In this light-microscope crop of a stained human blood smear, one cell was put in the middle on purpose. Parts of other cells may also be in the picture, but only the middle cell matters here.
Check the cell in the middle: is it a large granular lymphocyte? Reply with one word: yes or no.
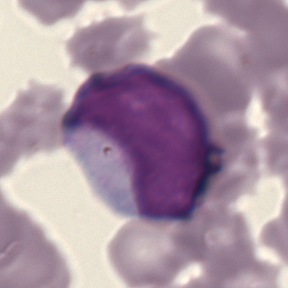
no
